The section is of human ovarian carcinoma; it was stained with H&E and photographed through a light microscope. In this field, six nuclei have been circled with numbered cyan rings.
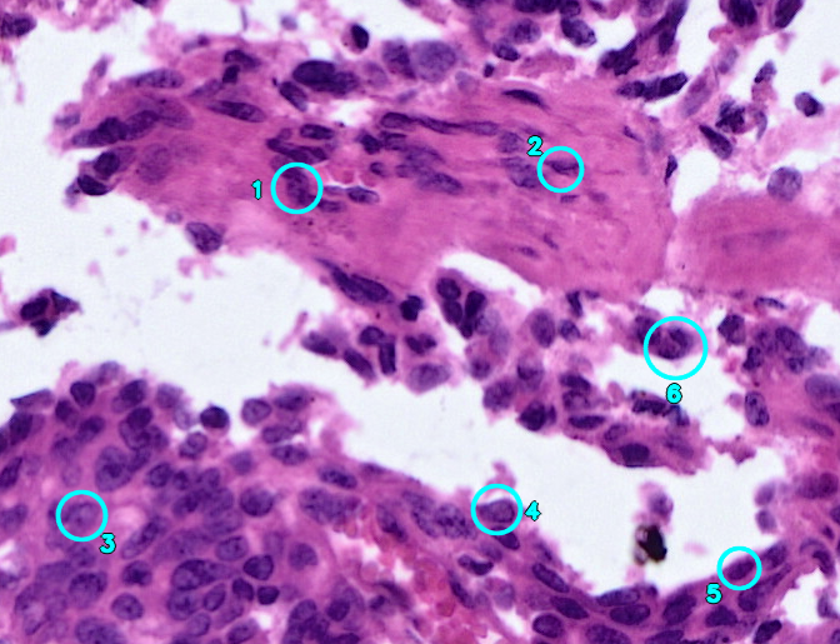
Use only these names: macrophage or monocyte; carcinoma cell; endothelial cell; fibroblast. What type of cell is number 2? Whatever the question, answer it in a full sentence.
The numeral 2 marks a fibroblast in this section.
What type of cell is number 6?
At number 6, the marked cell is a carcinoma cell.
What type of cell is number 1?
Cell 1, among those numbered, is an endothelial cell.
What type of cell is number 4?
Cell 4 is classified as a carcinoma cell.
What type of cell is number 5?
In this section, number 5 marks a carcinoma cell.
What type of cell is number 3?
Identified by the number 3, the cell is a carcinoma cell.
